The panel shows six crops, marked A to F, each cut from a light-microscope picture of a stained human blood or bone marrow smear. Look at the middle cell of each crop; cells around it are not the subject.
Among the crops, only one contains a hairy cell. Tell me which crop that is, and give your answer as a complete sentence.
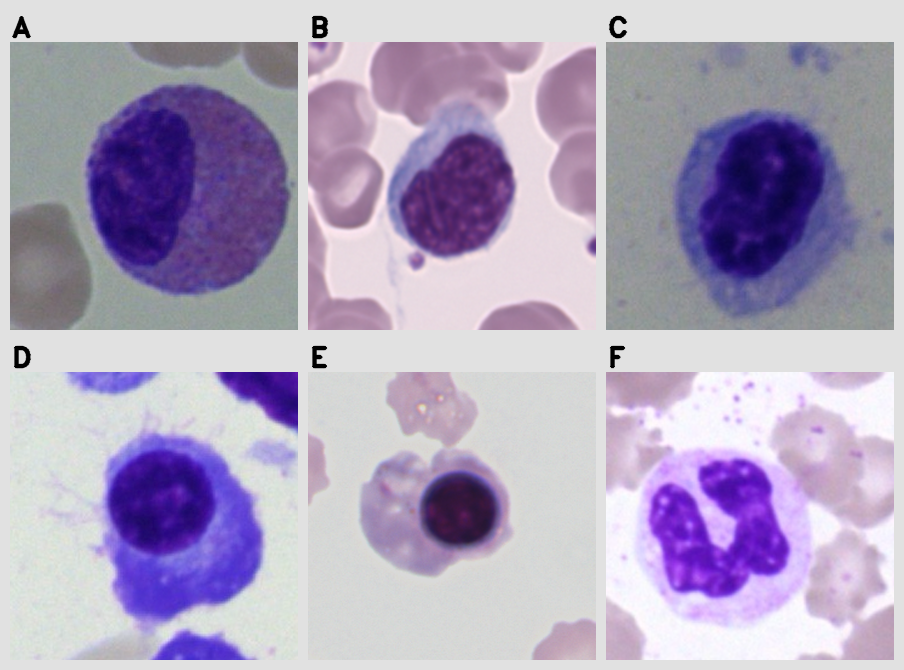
The crop showing a hairy cell in this series is crop C.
